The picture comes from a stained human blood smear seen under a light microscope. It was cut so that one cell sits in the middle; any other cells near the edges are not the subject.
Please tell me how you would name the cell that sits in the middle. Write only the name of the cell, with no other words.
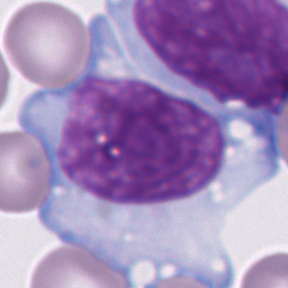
blast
